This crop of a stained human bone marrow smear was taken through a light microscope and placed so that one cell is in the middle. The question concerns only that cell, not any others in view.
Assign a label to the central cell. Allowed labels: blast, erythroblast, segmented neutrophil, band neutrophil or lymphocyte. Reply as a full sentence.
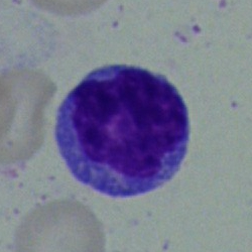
By classification, the middle cell of this crop is a blast.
